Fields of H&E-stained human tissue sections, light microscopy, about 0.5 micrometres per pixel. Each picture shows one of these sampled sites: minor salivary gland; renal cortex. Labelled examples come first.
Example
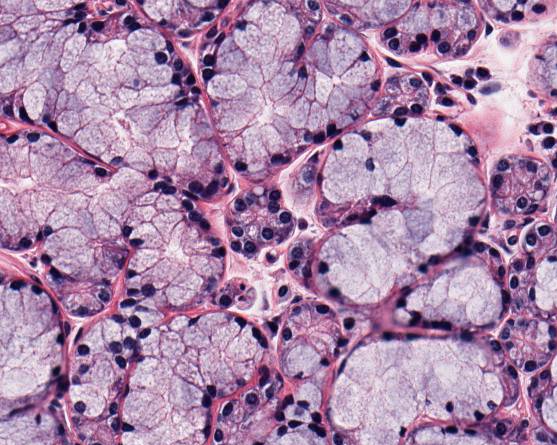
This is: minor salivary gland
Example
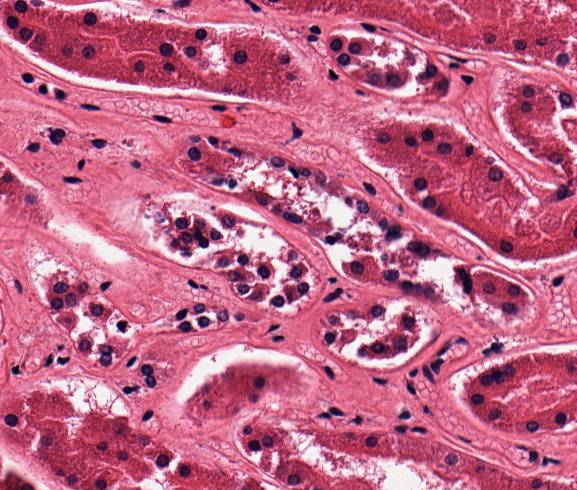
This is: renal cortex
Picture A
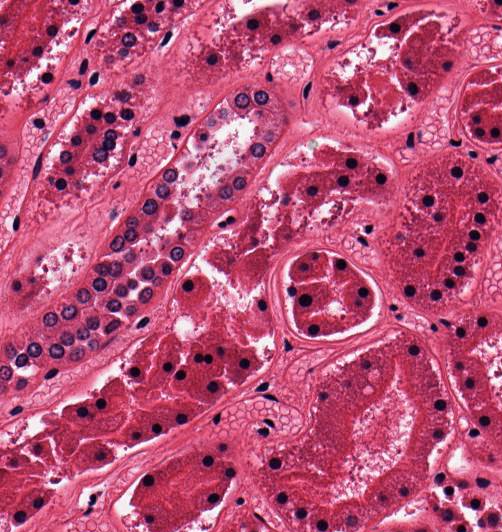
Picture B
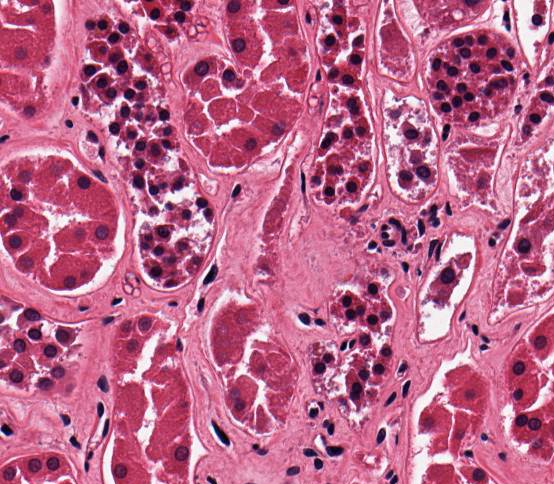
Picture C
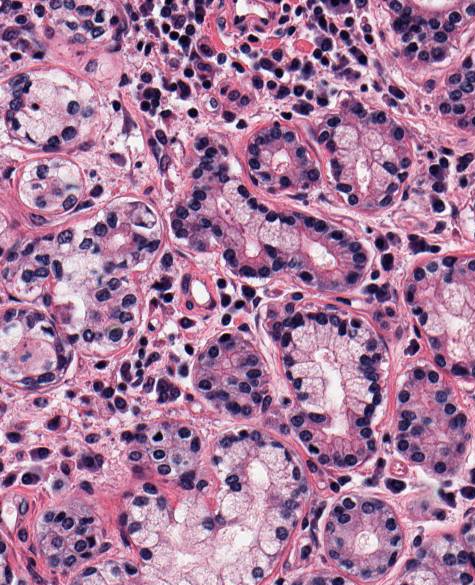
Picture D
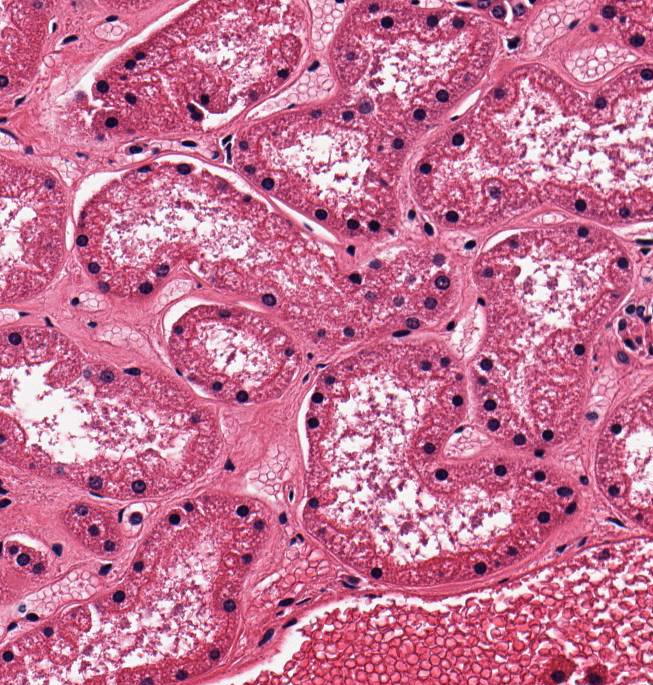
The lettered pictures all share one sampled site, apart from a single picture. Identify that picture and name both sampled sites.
C: minor salivary gland; all the others: renal cortex.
